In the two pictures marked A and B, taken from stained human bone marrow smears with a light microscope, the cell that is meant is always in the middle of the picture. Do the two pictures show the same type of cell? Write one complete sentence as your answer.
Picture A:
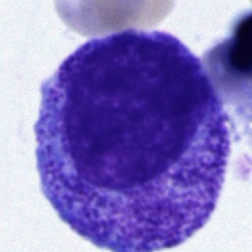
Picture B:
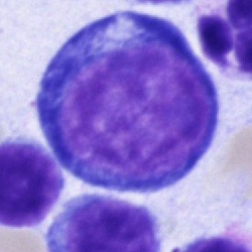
No. Picture A shows a promyelocyte, but picture B shows a proerythroblast.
